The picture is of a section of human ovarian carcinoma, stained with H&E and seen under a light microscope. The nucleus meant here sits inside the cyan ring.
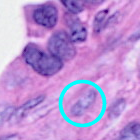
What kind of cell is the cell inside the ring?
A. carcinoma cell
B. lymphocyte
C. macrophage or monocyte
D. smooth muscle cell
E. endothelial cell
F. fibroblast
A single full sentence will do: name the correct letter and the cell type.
As the cell inside the ring is a fibroblast, the correct choice is option F.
